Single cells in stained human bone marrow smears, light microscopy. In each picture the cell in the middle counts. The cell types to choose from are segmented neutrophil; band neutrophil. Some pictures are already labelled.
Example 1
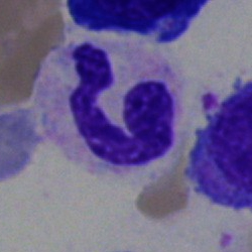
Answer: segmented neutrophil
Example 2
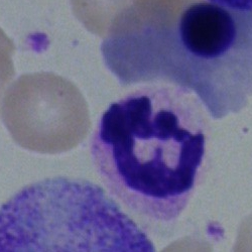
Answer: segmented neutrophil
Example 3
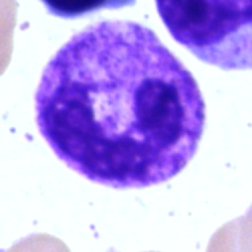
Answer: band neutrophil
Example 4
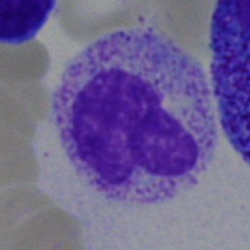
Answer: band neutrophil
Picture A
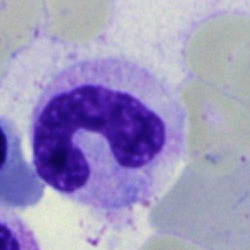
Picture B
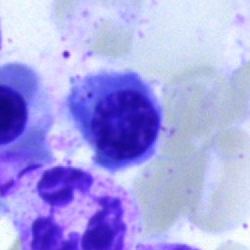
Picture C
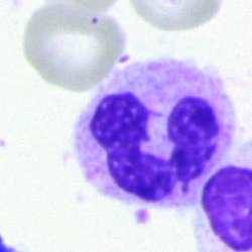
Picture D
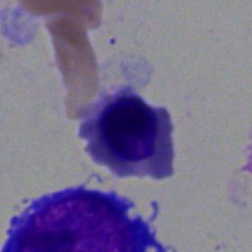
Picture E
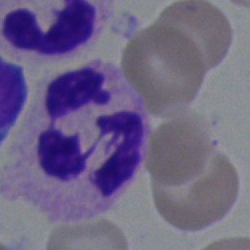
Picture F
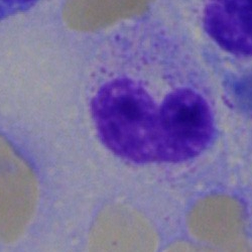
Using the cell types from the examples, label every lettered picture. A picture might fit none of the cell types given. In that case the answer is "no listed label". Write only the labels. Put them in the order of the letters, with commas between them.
band neutrophil, no listed label, segmented neutrophil, no listed label, segmented neutrophil, band neutrophil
